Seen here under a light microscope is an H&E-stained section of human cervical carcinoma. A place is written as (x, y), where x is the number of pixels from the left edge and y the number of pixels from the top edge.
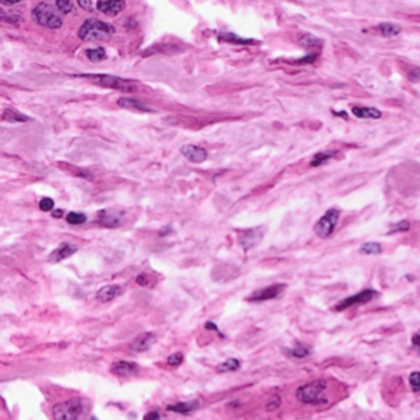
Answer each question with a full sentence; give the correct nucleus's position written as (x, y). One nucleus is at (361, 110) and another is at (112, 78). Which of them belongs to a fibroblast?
Of the two nuclei, the nucleus belonging to a fibroblast is located at (112, 78).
